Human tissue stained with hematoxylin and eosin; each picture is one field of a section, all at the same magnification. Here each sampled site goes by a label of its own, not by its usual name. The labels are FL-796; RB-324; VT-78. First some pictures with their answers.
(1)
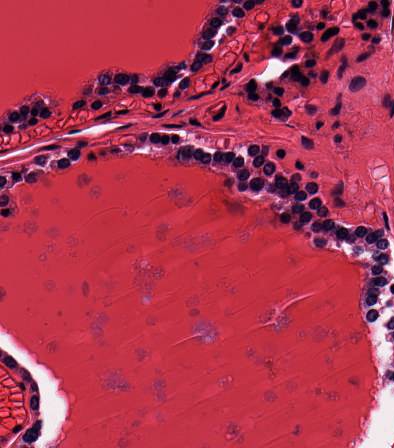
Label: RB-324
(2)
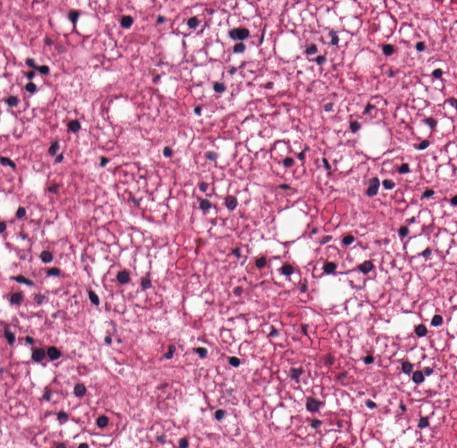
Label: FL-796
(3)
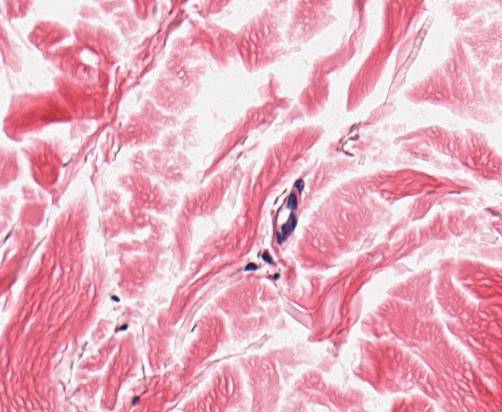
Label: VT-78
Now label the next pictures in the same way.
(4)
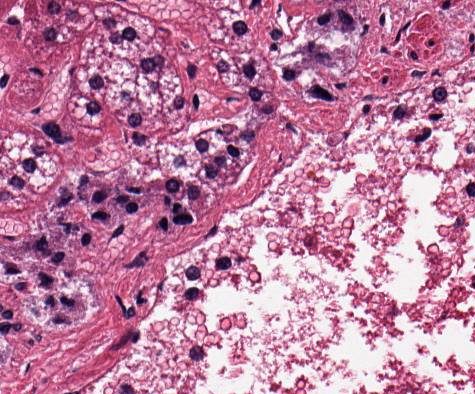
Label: FL-796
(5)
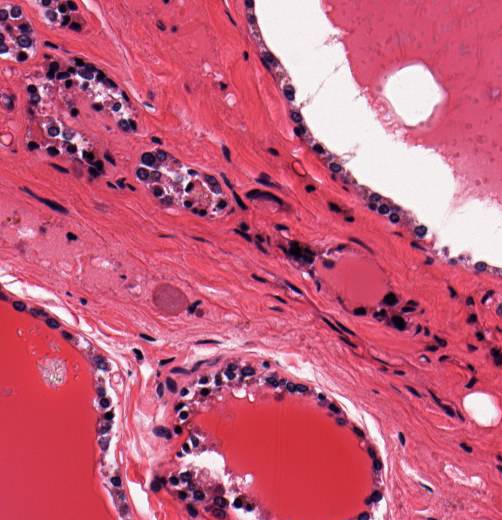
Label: RB-324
